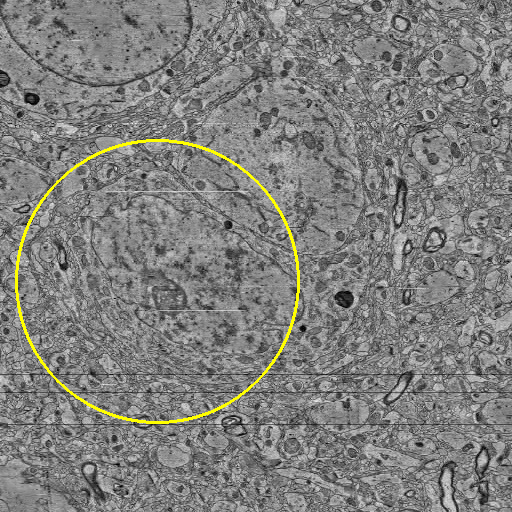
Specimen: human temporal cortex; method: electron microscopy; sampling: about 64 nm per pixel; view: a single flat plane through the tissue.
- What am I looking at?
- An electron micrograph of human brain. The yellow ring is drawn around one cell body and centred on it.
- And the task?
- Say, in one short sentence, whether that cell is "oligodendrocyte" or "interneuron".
The cell in the middle of the ring is an interneuron.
